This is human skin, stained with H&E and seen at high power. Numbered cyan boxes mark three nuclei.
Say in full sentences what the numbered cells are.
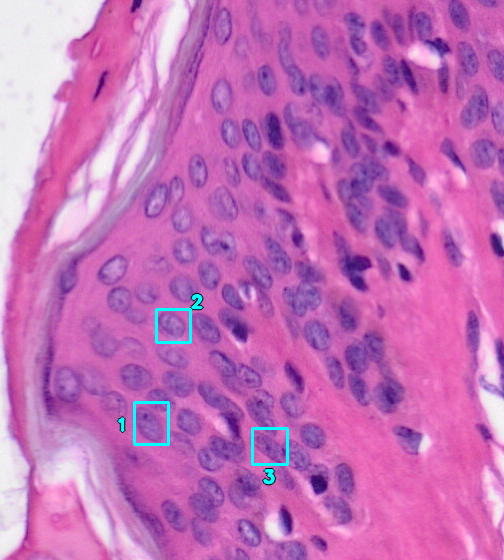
Cells 1 and 2 are suprabasal keratinocytes. Cell 3 is a basal keratinocyte.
